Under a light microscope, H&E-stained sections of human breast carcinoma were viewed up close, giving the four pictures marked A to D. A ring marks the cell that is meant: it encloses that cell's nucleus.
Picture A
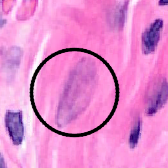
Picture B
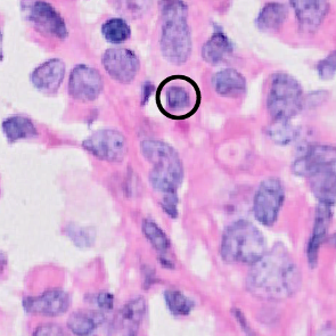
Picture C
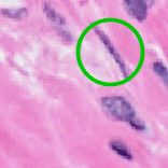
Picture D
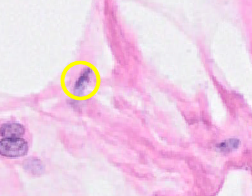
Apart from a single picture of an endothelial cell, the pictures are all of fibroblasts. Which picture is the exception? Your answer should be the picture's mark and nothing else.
B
